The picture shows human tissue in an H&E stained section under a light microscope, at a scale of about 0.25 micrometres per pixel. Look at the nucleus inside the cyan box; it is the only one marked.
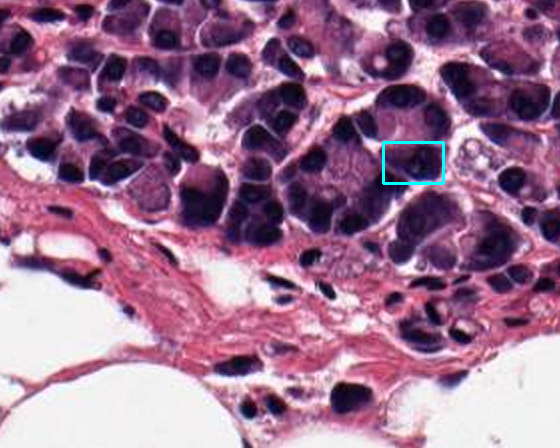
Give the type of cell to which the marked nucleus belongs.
pancreatic acinar cell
